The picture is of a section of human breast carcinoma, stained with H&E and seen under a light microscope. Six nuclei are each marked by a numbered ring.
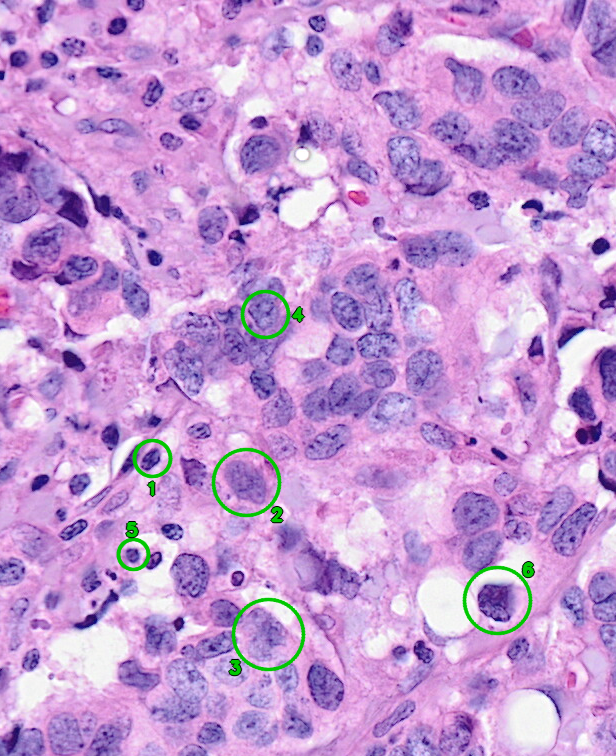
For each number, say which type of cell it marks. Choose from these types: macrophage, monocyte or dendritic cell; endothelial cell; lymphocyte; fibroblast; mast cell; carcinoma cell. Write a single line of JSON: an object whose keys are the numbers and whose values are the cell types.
{"1": "lymphocyte", "2": "carcinoma cell", "3": "carcinoma cell", "4": "carcinoma cell", "5": "lymphocyte", "6": "carcinoma cell"}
